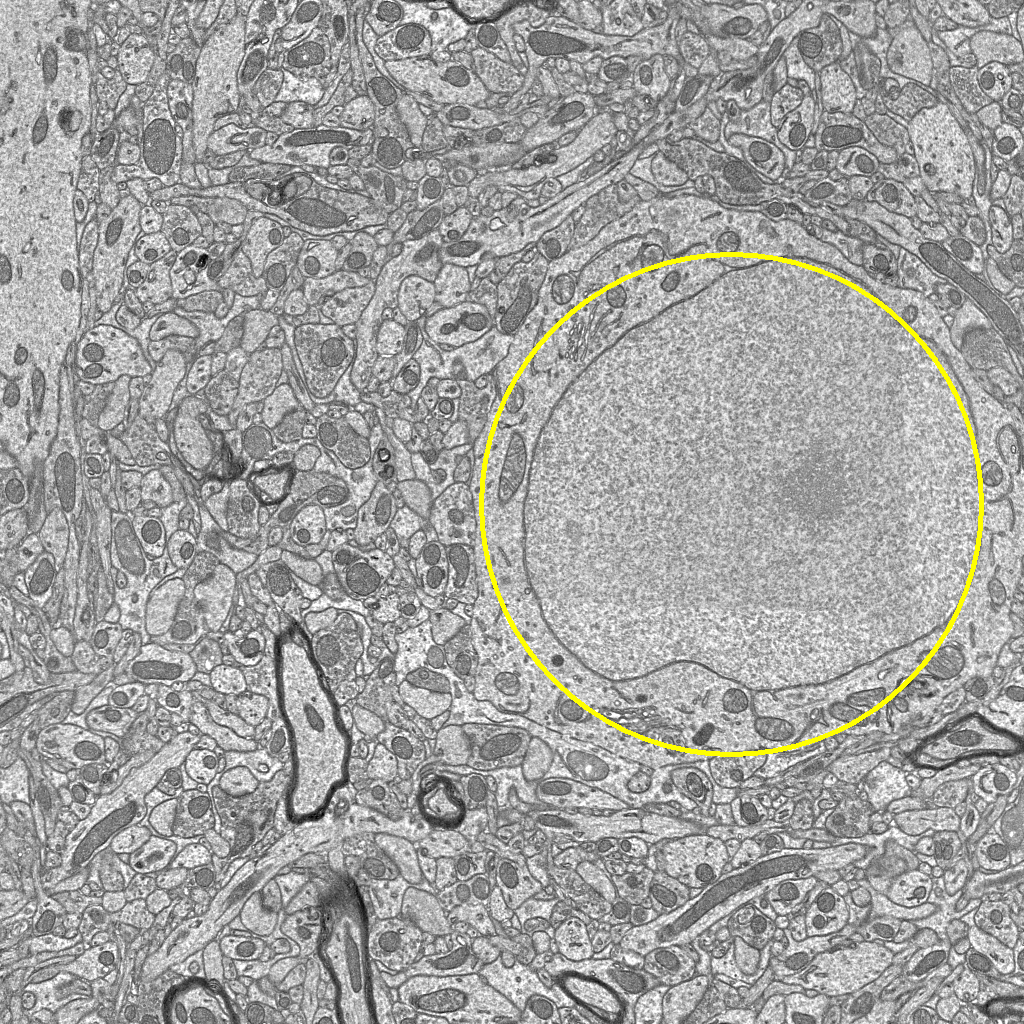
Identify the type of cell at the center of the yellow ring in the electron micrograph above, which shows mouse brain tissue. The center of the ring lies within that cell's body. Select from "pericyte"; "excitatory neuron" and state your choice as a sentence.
The center of the yellow ring lies in the body of an excitatory neuron.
